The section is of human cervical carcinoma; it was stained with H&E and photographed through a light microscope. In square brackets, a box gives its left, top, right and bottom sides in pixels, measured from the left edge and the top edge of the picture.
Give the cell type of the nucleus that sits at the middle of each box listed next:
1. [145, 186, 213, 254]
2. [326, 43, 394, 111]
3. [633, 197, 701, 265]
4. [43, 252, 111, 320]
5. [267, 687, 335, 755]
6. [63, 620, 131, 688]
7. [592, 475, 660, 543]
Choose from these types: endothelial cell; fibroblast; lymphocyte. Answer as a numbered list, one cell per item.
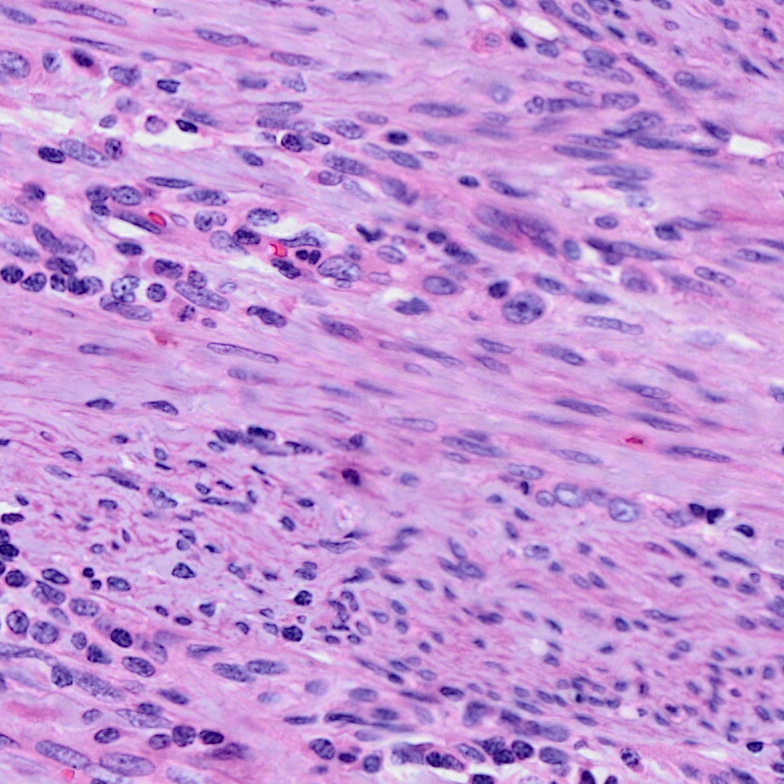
1. endothelial cell
2. fibroblast
3. lymphocyte
4. lymphocyte
5. fibroblast
6. lymphocyte
7. endothelial cell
